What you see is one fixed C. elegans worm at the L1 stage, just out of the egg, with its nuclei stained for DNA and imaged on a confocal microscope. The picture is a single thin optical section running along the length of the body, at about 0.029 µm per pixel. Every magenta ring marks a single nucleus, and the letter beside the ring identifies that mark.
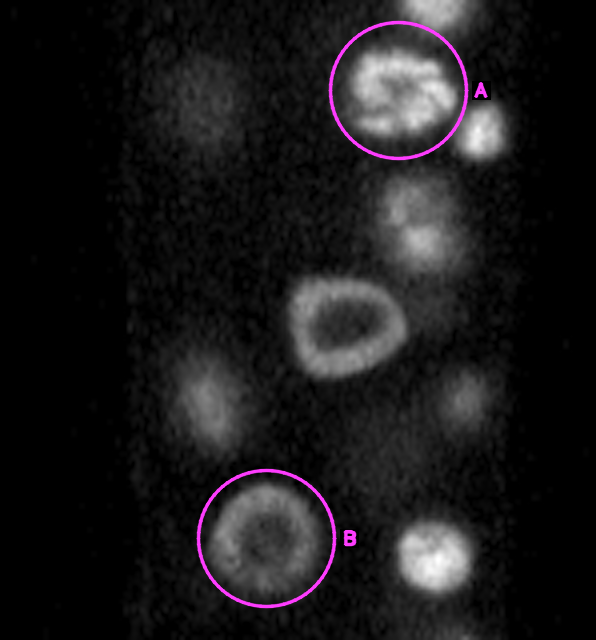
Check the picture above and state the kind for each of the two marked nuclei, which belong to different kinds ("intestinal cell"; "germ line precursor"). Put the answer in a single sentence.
A is from a germ line precursor, and B is from an intestinal cell.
